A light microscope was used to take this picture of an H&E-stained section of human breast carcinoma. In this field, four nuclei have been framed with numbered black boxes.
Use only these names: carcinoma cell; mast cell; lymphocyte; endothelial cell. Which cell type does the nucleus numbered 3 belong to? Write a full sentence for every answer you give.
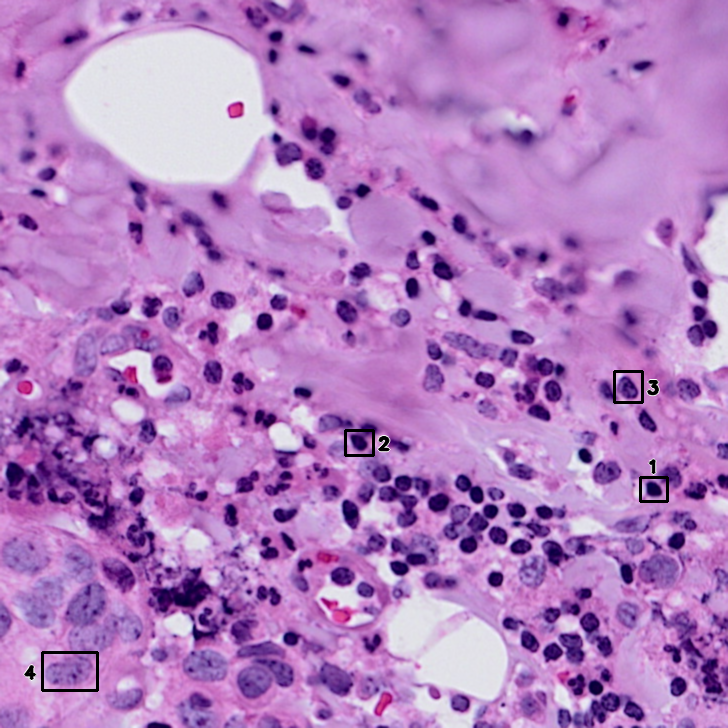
Numbered cell 3 is a lymphocyte in this tissue section.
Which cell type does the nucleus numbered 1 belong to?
What the number 1 marks in this field is a lymphocyte.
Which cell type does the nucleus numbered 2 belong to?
The identity of cell 2 is that of a lymphocyte.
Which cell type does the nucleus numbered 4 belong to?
The marked nucleus 4 is that of a carcinoma cell.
